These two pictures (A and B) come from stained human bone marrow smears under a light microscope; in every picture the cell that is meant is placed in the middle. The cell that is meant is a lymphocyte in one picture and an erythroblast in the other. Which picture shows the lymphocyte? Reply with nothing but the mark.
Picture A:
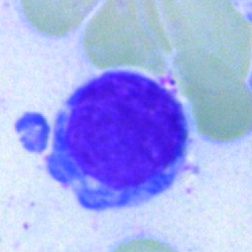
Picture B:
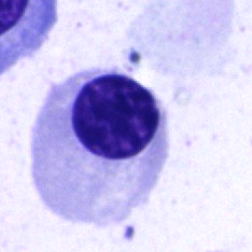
A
